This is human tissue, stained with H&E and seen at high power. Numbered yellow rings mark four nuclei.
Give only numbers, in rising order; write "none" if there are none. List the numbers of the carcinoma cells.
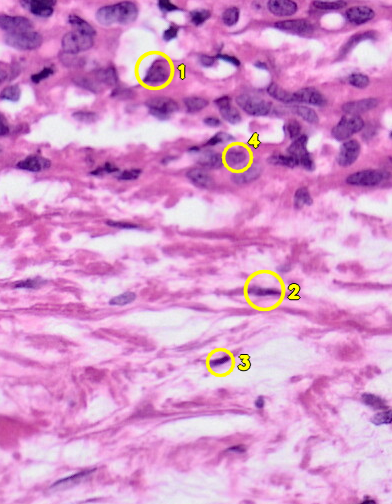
1, 4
